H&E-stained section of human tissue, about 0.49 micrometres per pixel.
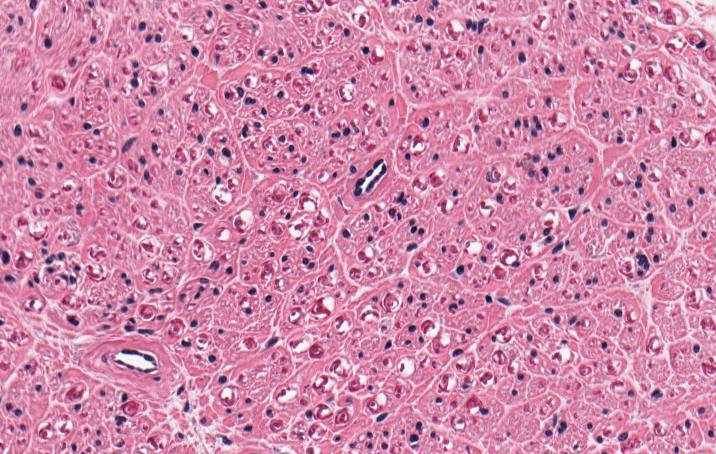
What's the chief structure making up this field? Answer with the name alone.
nerve fascicle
